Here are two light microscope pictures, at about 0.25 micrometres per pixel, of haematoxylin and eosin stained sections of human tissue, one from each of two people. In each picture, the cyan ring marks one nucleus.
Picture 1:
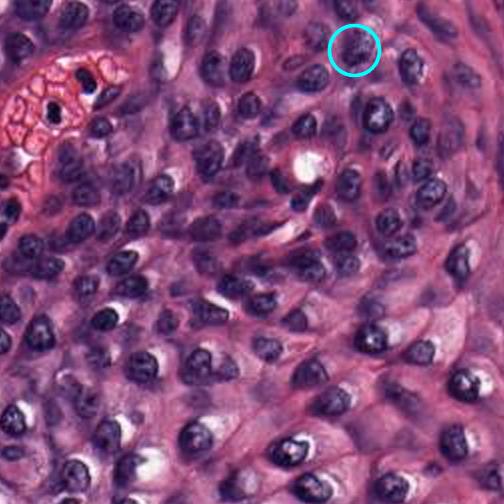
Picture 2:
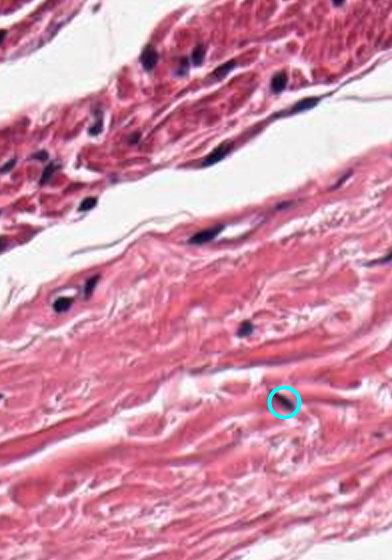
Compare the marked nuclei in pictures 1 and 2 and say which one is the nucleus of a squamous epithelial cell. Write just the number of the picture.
1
